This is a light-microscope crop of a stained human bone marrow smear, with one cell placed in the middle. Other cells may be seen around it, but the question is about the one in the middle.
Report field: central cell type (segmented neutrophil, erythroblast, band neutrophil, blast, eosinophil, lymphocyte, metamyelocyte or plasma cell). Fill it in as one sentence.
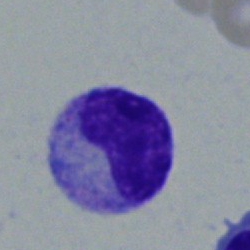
The cell in the middle of this crop is a metamyelocyte.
